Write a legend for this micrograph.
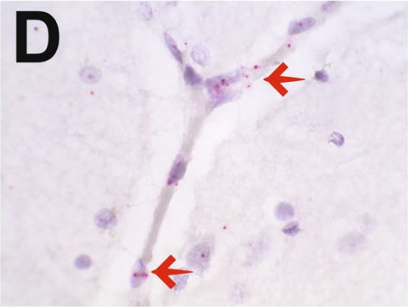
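The capillary is a narrow branching tube whose wall carries elongated blue nuclei. Small bright pink granules dot the capillary wall and lie close to those nuclei, while the rounder nuclei of neighbouring cells in the surrounding tissue are mostly free of pink. The tissue around the vessel is otherwise almost colourless, with a thin clear space along the vessel.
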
